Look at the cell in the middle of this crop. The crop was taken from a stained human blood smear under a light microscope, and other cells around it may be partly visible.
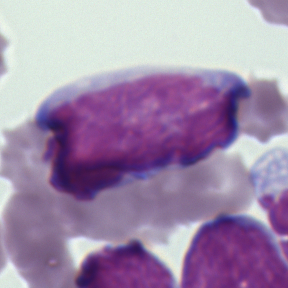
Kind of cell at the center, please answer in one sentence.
What sits at the centre of this crop is a myeloblast.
